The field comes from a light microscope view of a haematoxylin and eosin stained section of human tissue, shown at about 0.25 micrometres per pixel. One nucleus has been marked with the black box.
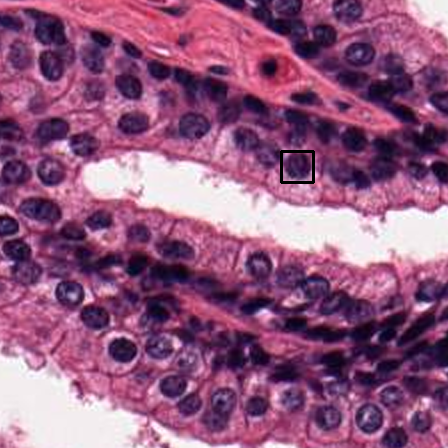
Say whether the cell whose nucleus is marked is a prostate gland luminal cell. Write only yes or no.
yes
